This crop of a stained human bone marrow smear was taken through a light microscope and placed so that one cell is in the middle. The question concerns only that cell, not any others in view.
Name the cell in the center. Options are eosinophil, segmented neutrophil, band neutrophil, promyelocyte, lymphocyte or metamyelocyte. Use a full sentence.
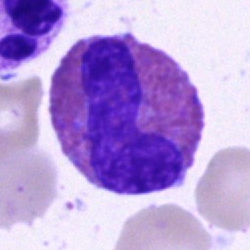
The centrally positioned cell in the crop represents an eosinophil.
